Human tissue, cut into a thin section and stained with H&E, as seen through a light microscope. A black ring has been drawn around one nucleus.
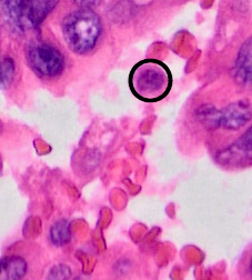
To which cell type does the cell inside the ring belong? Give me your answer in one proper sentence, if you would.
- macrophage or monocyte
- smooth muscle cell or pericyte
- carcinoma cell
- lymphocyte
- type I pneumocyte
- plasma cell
As to its cell type, the cell inside the ring is a macrophage or monocyte.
